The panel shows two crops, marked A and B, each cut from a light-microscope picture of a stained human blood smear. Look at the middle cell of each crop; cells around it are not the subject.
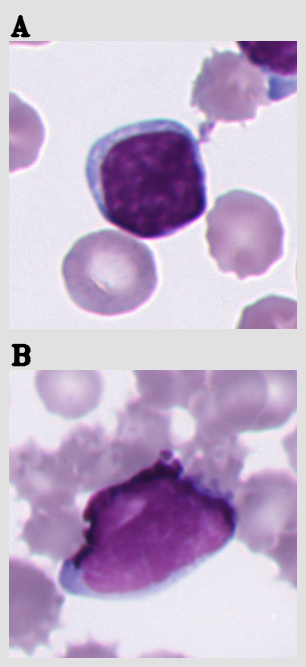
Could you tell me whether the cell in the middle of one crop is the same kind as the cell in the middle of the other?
no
